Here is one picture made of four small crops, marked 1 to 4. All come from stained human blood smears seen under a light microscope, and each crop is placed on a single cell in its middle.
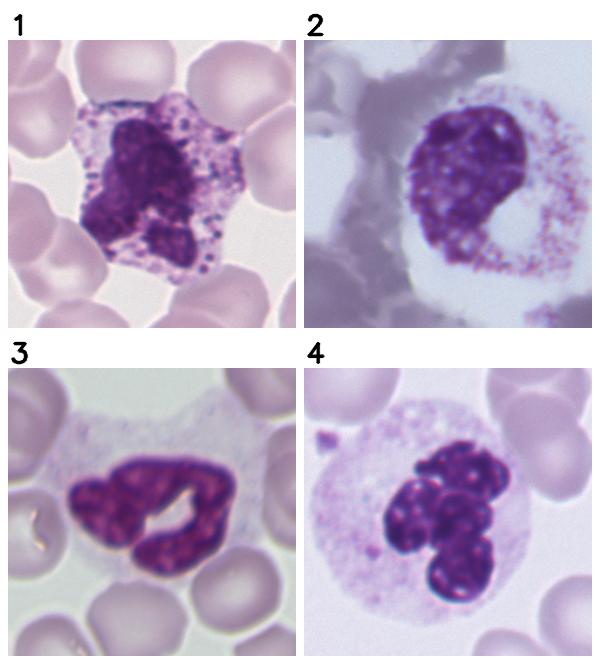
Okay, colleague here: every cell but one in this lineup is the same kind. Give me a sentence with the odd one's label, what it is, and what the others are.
Crop 1 is the outlier, with a basophil against segmented neutrophils in the rest.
